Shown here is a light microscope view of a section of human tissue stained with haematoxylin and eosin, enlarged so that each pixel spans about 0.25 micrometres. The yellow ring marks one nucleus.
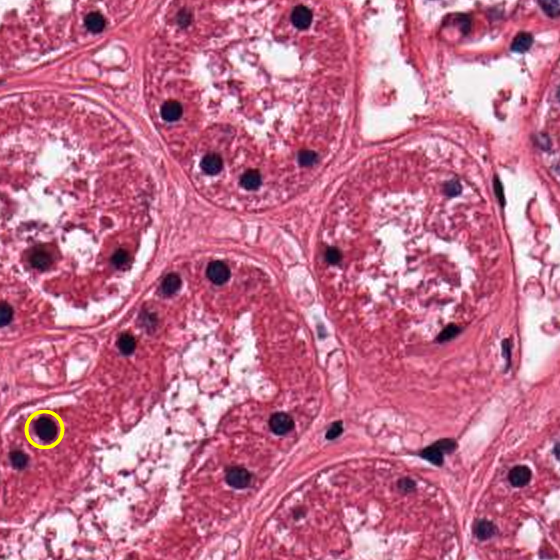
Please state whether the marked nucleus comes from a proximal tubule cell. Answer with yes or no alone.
yes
